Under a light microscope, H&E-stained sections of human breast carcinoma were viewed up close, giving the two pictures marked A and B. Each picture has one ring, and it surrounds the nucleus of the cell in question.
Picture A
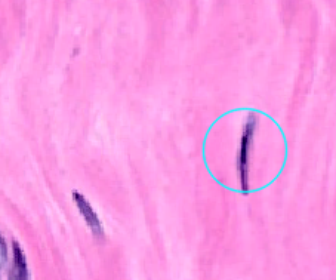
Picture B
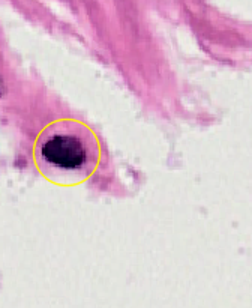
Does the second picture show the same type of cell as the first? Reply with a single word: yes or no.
no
